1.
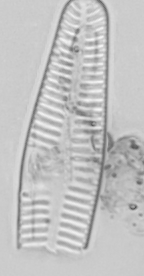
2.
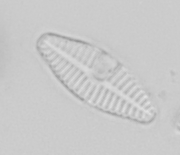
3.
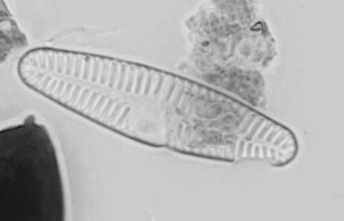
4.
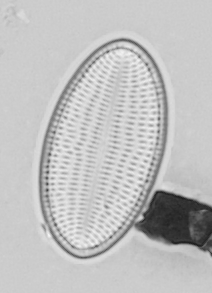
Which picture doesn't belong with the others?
Picture 4.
